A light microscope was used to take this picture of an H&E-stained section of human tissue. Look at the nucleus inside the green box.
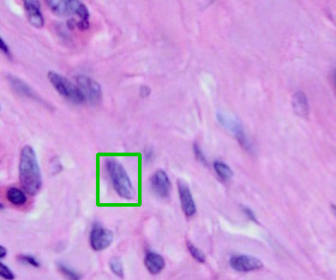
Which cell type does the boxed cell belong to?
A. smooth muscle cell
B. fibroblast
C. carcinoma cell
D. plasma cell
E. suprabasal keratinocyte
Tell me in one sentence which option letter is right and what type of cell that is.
The choice that fits is option B, as the boxed cell is a fibroblast.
